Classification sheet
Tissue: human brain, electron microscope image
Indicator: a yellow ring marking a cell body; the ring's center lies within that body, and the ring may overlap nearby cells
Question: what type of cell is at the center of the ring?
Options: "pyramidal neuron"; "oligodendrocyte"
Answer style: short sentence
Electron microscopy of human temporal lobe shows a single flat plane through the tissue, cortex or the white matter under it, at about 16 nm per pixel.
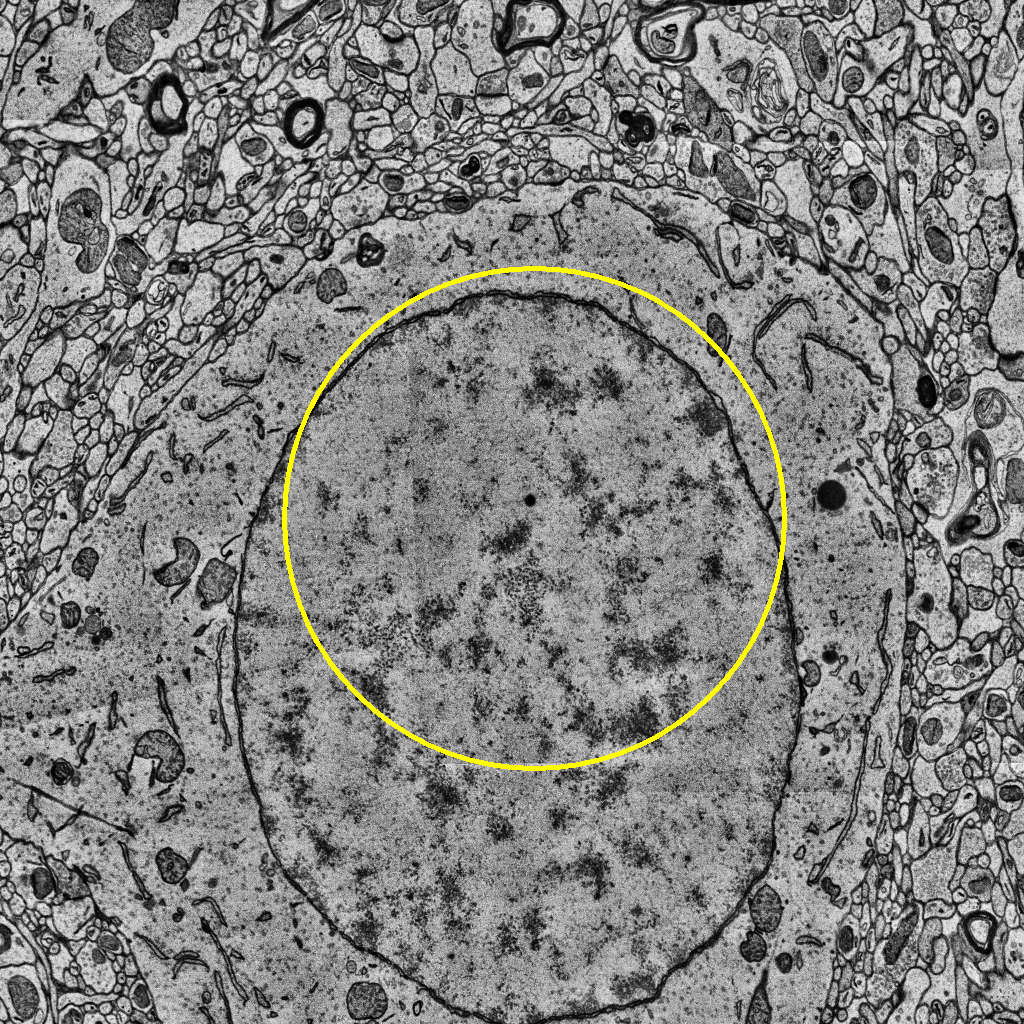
At the ring's center is a pyramidal neuron.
